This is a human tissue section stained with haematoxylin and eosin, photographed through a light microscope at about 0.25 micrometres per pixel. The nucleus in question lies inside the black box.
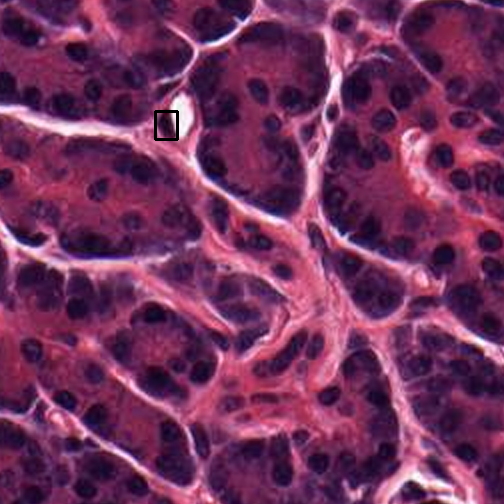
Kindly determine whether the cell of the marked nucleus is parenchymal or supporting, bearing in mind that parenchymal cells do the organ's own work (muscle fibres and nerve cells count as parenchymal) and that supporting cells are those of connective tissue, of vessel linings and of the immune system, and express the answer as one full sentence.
The marked nucleus is found in a supporting cell.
